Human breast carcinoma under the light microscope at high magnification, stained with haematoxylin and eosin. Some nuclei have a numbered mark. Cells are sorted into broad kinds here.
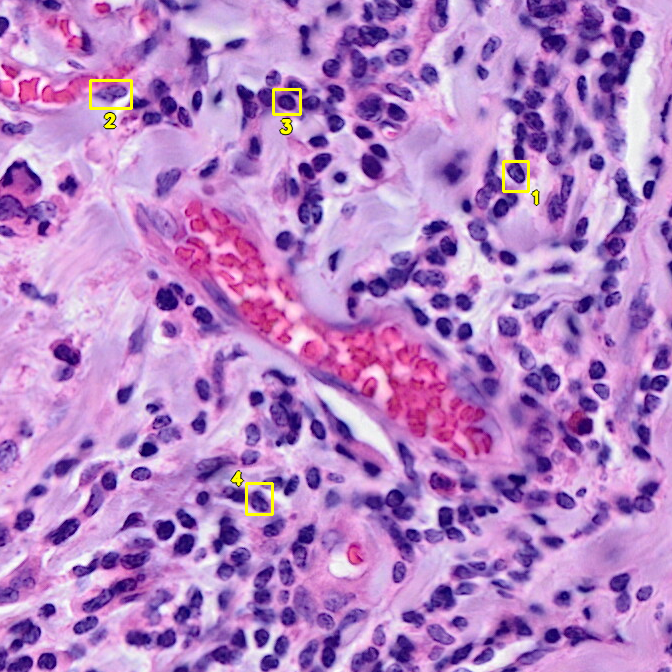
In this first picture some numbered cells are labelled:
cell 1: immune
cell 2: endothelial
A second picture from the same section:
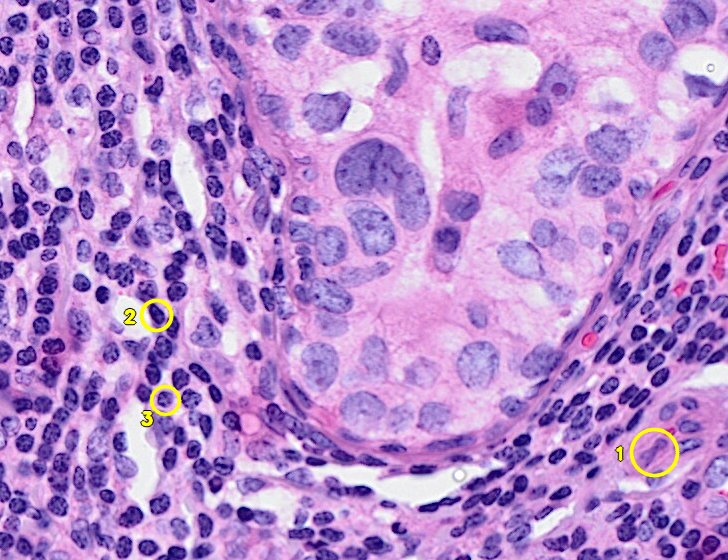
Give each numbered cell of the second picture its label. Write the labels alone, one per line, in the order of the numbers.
endothelial
immune
immune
